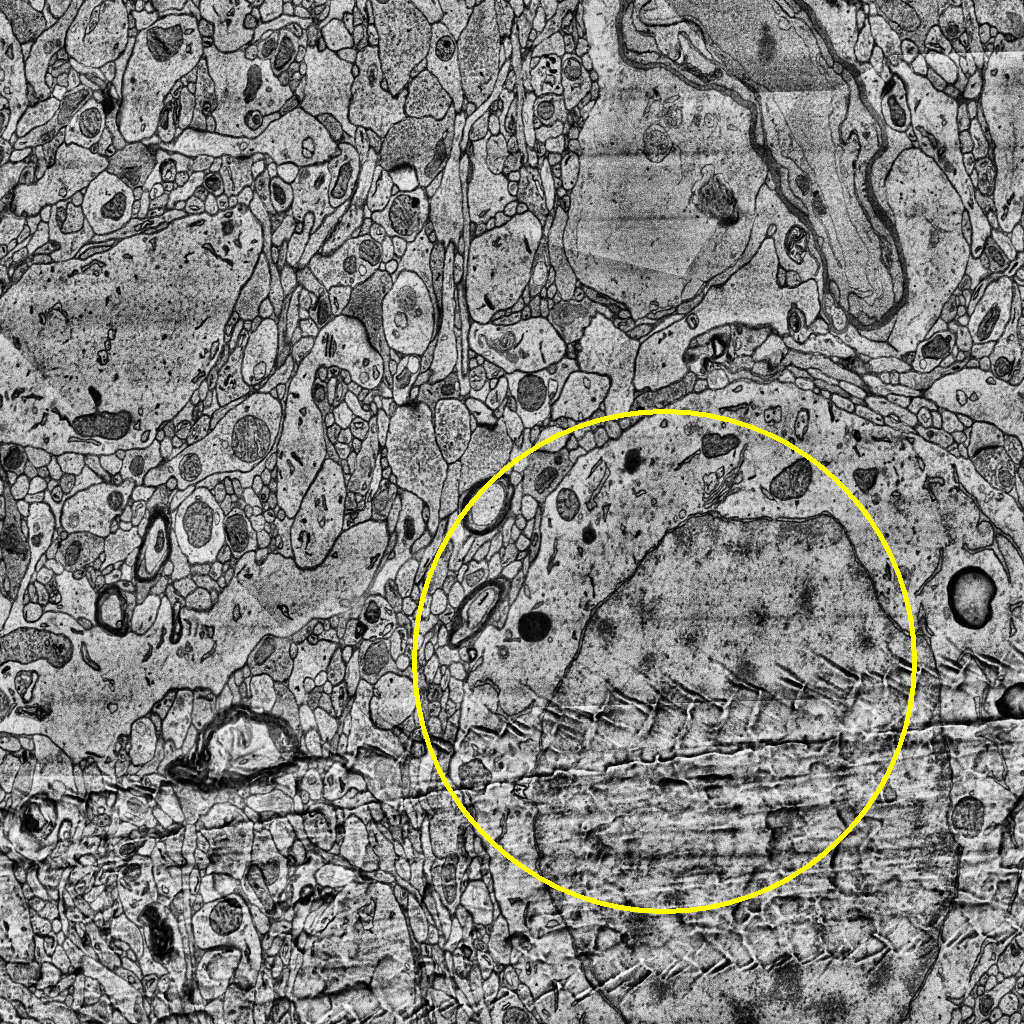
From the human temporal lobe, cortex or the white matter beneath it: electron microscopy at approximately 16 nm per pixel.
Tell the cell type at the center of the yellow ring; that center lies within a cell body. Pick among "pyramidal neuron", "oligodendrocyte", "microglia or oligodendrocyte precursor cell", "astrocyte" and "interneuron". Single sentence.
The ring's center lies in the body of a pyramidal neuron.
